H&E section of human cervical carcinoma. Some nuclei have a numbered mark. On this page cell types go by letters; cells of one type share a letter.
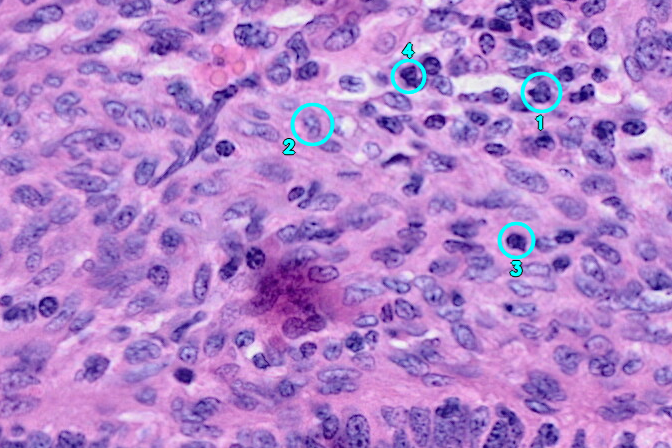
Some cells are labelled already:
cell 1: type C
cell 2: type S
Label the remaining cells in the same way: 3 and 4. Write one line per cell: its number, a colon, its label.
3: type C
4: type C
